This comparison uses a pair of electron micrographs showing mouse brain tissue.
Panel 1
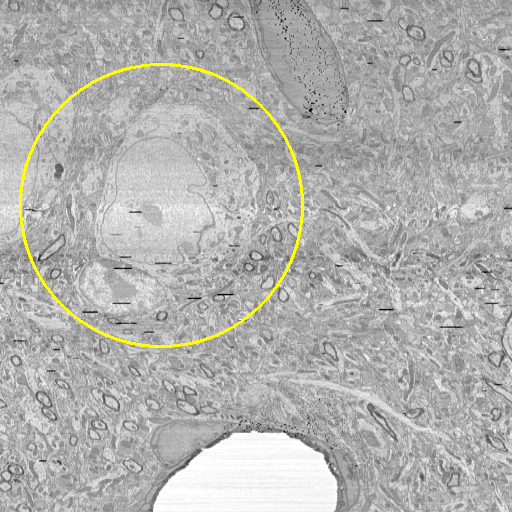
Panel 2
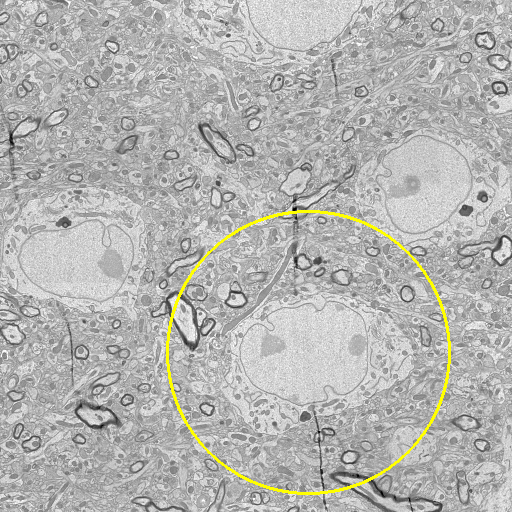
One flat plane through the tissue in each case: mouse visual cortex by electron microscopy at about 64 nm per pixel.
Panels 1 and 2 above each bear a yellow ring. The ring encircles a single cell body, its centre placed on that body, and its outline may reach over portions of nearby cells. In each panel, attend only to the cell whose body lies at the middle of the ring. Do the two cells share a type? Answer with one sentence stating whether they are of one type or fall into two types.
In Panel 1 and Panel 2, the cells at the centres of the rings are of one type.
